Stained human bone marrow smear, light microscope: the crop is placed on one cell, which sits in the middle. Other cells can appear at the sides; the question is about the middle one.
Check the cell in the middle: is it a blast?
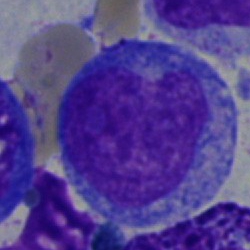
yes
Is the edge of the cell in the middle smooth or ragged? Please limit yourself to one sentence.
Smooth all around, the outline has no projections to report.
